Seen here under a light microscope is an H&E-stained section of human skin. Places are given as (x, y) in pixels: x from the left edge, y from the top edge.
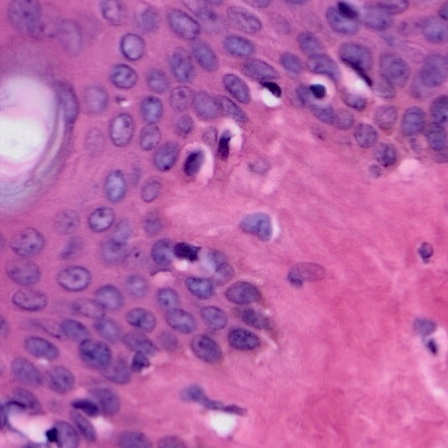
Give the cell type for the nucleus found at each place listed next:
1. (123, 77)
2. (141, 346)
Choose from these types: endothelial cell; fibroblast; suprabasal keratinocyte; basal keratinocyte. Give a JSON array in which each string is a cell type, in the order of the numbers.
["suprabasal keratinocyte", "basal keratinocyte"]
